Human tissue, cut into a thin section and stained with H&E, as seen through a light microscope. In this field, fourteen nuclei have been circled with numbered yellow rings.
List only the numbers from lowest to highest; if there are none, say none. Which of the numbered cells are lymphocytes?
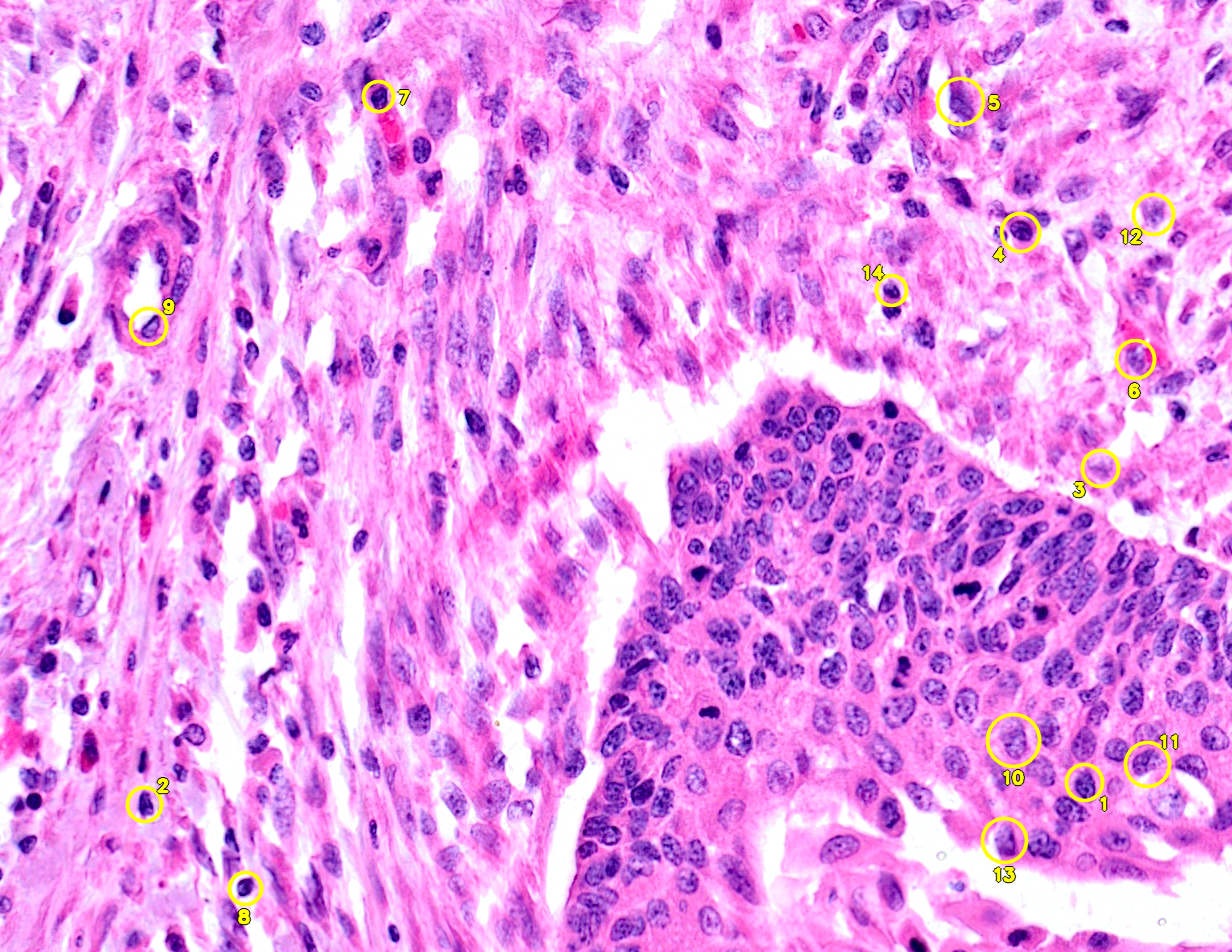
2, 4, 7, 8, 14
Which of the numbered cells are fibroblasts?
3, 12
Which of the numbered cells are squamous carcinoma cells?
1, 10, 11, 13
